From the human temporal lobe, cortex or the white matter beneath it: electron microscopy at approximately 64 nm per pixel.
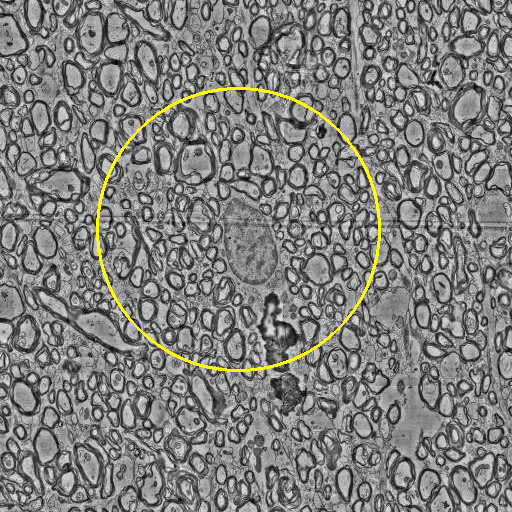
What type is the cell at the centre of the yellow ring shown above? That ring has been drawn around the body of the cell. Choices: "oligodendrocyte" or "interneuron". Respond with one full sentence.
My answer is that an oligodendrocyte lies at the centre of the yellow ring above.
